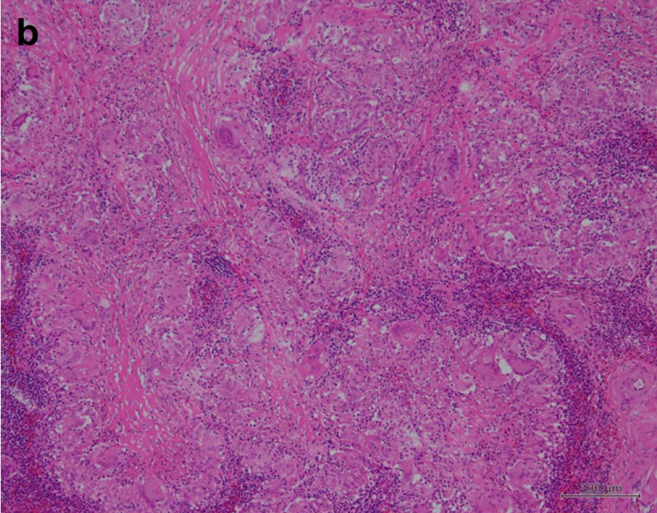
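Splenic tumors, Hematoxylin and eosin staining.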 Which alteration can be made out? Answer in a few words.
Non-caseating granulomas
